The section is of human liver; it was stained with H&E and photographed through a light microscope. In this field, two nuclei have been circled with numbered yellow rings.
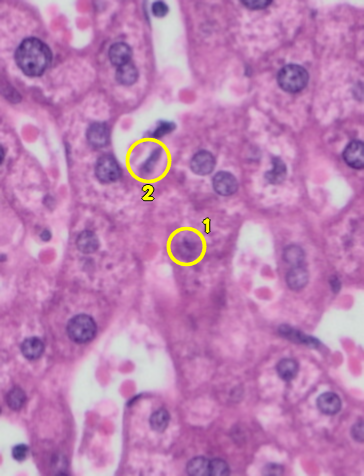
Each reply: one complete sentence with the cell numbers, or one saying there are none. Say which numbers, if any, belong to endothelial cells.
There is not a single one of the endothelial cells among the numbered cells.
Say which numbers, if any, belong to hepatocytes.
Cell 1 is a hepatocyte, while every other numbered cell is not.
